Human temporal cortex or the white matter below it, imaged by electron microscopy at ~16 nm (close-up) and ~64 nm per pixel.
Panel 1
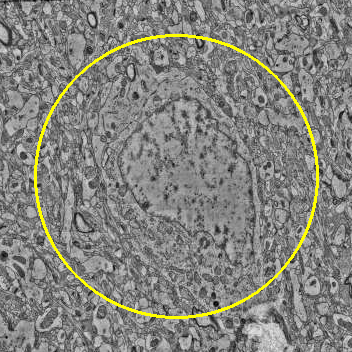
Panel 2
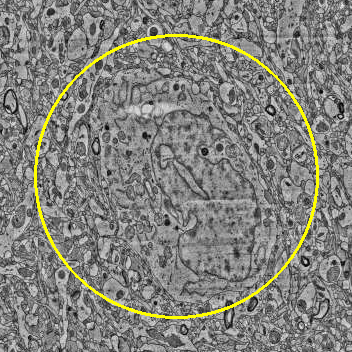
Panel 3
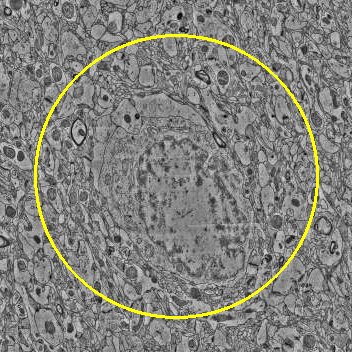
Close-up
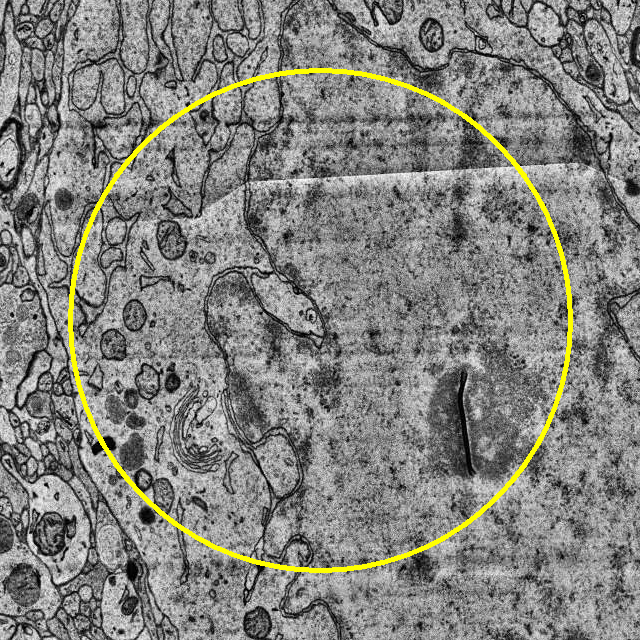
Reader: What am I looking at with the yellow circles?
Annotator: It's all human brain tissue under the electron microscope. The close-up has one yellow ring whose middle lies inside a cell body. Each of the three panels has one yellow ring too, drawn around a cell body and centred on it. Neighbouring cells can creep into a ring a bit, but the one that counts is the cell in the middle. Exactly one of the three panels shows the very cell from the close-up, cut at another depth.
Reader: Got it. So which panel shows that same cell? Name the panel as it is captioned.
Panel 2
